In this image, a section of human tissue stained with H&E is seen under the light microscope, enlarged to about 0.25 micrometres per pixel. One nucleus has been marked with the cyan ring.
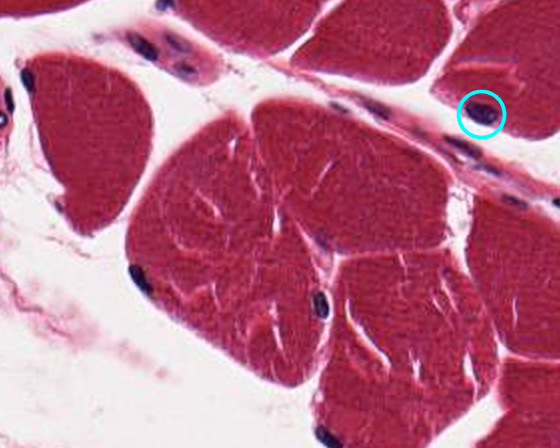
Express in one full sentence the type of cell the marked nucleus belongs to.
Indicated by the mark is a nucleus that belongs to a skeletal muscle fibre.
